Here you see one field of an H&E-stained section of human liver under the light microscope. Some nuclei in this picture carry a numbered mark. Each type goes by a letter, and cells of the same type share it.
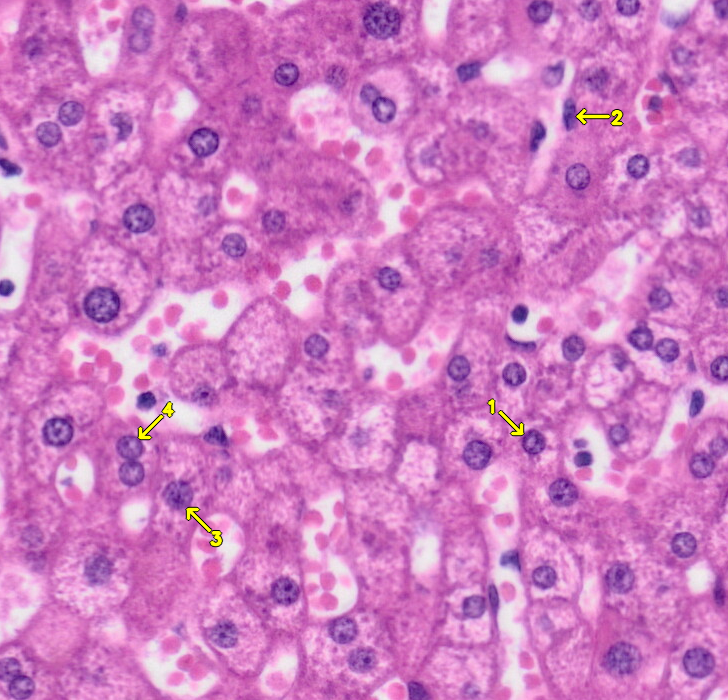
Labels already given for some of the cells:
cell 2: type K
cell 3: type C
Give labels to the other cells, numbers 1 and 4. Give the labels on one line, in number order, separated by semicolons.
type C; type C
